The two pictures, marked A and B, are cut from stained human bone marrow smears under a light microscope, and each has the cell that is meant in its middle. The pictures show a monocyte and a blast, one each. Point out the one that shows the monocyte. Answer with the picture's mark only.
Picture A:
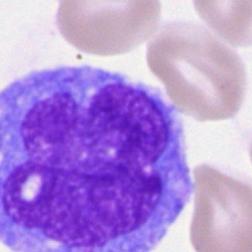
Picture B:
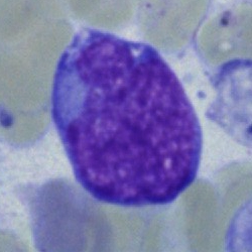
A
